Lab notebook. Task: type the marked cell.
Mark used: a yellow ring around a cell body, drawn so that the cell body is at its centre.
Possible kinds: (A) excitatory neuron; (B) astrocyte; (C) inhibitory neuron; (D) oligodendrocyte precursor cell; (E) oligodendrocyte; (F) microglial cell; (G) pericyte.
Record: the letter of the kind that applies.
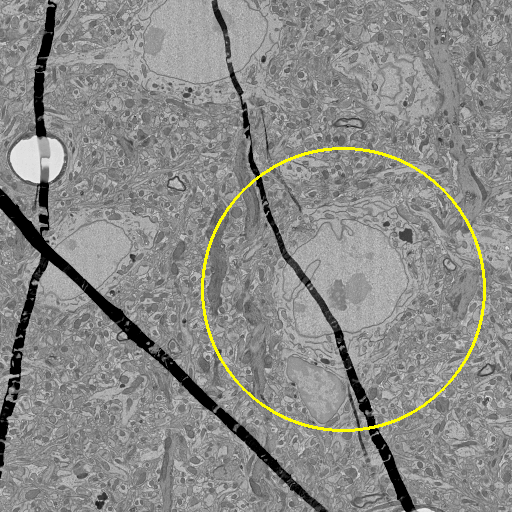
C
